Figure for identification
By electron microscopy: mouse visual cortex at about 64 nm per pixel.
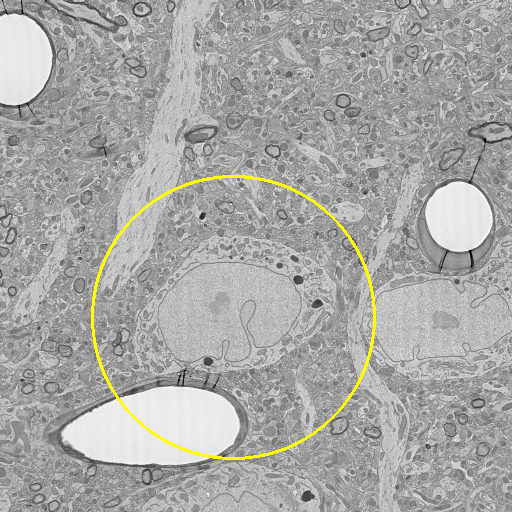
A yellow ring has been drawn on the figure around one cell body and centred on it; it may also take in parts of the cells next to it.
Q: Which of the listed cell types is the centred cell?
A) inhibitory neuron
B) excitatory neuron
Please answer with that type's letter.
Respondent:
A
